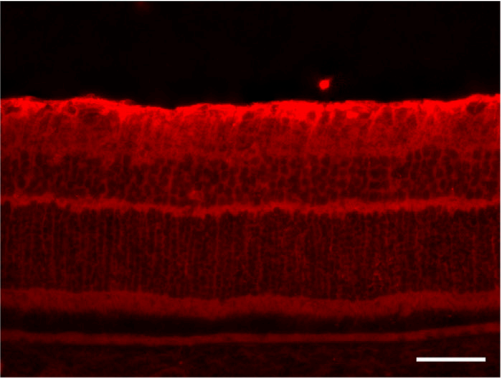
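A cross-section of retina shows horizontally stacked layers, with intense red fluorescence at the inner surface in the ganglion cell layer and diffuse red throughout the inner plexiform and inner nuclear layers. A thin brighter line marks the outer plexiform layer, and beneath the broad, faintly striated outer nuclear layer lies a bright band at the photoreceptor inner segments.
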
